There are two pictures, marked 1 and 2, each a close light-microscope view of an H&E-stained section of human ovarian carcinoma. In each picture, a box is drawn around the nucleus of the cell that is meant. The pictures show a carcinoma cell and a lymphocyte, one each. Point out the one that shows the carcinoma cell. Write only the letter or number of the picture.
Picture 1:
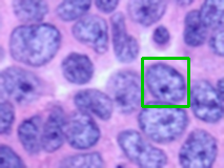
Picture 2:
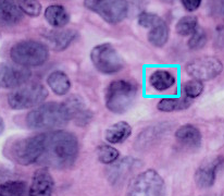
1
